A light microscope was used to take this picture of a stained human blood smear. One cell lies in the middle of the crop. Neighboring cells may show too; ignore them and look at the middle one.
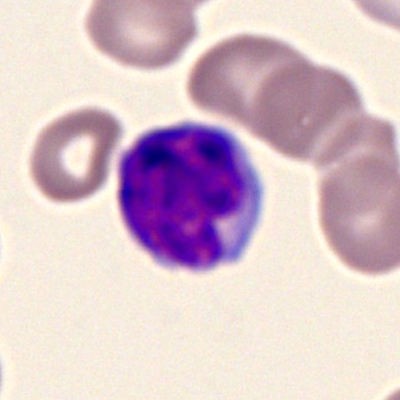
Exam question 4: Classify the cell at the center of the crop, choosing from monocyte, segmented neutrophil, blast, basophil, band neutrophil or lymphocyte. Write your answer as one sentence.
The middle cell in this particular crop is a lymphocyte.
